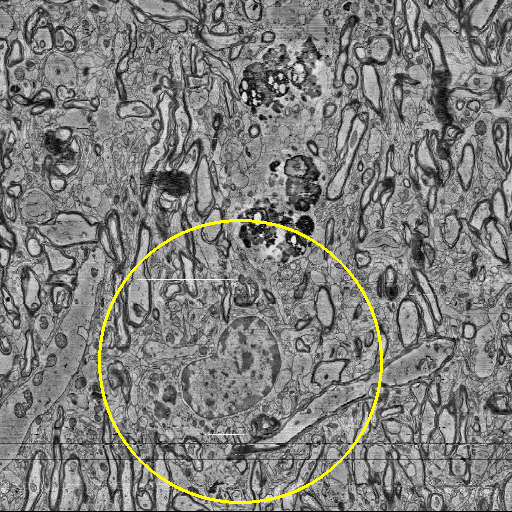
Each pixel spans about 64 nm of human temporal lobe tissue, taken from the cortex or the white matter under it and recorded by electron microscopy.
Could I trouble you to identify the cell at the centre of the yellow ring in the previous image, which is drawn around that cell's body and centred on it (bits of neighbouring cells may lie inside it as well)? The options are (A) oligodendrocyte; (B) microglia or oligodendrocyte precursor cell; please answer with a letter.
B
